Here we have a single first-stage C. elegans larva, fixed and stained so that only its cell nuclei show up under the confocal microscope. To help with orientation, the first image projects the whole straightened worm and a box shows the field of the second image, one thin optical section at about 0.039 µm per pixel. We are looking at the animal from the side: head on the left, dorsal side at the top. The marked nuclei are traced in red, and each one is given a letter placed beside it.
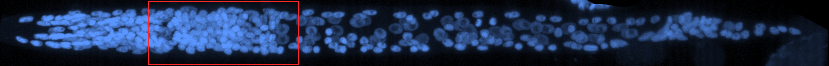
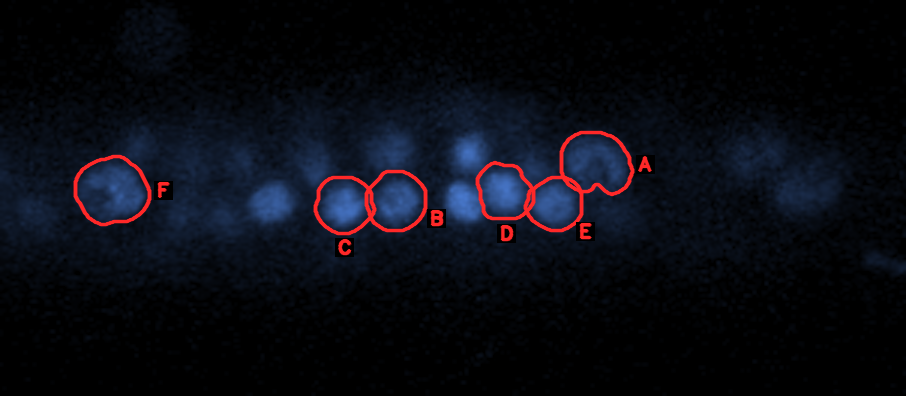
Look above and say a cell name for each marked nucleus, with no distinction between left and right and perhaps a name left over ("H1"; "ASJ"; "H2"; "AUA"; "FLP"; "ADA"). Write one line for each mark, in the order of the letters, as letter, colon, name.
A: H2
B: ASJ
C: AUA
D: FLP
E: ADA
F: H1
